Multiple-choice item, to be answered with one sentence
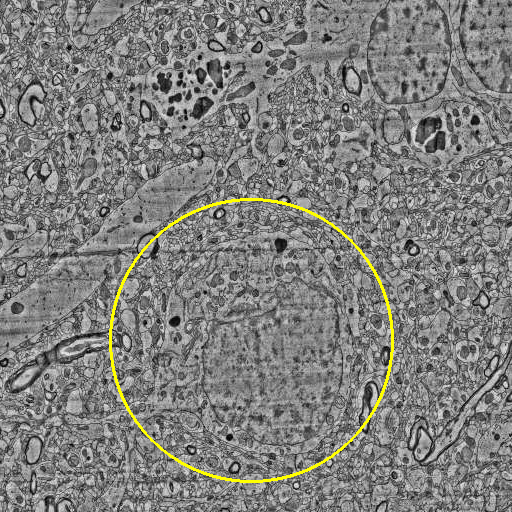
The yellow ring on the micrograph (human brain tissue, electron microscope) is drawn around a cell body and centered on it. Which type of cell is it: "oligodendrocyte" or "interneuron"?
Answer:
The ring is centered on an interneuron.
